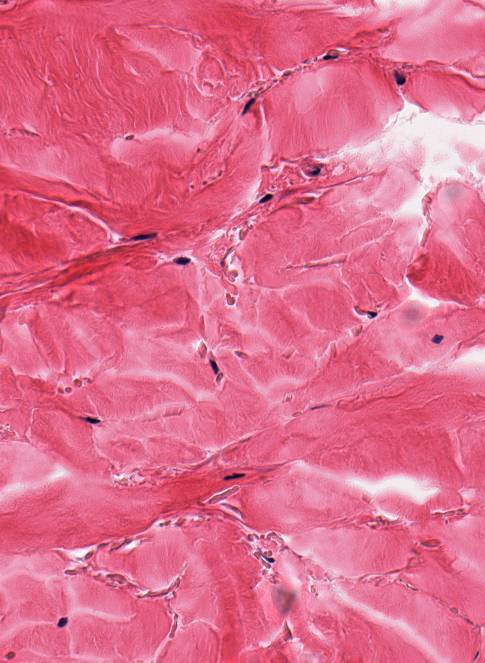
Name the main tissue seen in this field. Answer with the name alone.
dermis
